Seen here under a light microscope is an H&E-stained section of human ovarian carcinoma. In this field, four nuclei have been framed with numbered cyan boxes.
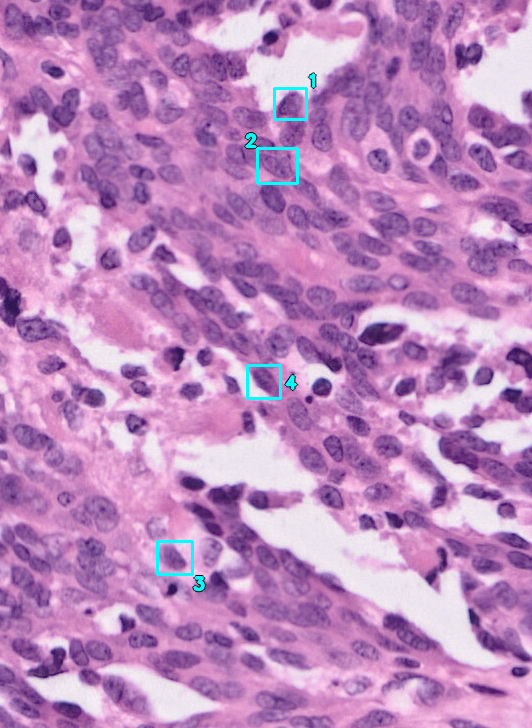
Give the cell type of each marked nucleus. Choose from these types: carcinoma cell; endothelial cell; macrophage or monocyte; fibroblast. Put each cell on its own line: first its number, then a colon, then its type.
1: carcinoma cell
2: carcinoma cell
3: macrophage or monocyte
4: carcinoma cell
